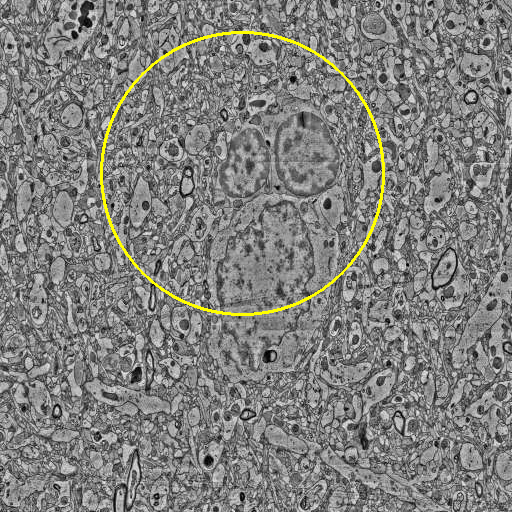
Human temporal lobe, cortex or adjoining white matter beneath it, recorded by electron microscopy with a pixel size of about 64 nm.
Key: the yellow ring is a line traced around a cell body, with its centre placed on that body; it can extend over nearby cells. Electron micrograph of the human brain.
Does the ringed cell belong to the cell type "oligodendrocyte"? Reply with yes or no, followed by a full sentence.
Yes, the cell at the centre of the yellow ring in the picture is of that type.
